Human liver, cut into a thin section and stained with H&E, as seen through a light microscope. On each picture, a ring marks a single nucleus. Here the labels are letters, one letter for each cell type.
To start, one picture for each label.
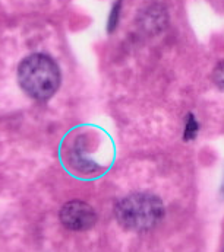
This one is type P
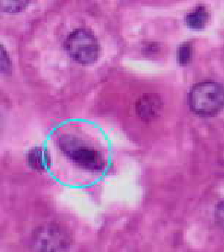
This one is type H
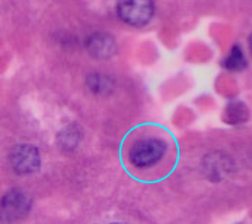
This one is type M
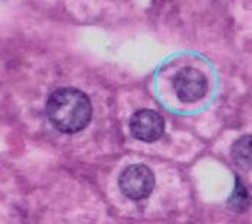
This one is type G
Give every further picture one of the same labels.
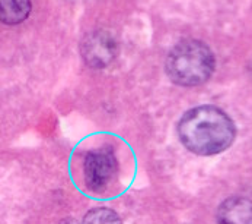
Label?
type M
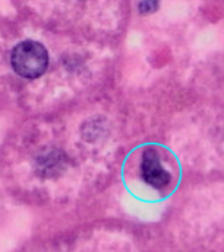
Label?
type H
